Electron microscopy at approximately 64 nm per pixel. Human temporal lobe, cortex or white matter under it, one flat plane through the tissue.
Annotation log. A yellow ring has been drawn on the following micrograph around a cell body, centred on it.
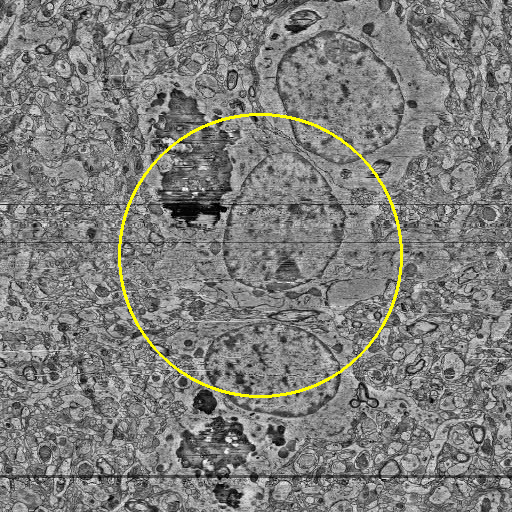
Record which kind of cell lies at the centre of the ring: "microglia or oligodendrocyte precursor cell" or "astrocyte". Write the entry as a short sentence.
The cell the ring is centred on is an astrocyte.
